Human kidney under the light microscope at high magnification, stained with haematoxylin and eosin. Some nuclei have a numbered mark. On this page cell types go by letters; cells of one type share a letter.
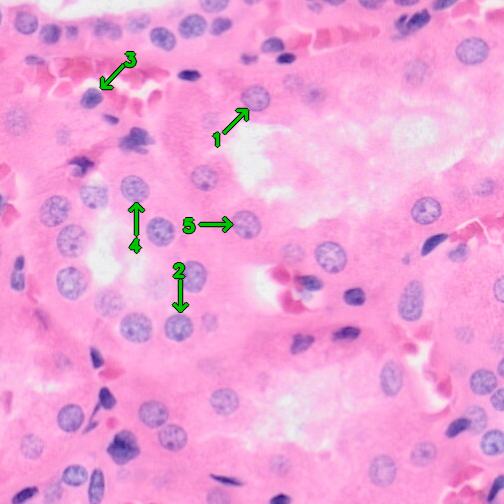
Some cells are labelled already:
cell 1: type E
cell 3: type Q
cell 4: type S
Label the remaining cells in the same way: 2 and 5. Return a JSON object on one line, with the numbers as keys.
{"2": "type S", "5": "type E"}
